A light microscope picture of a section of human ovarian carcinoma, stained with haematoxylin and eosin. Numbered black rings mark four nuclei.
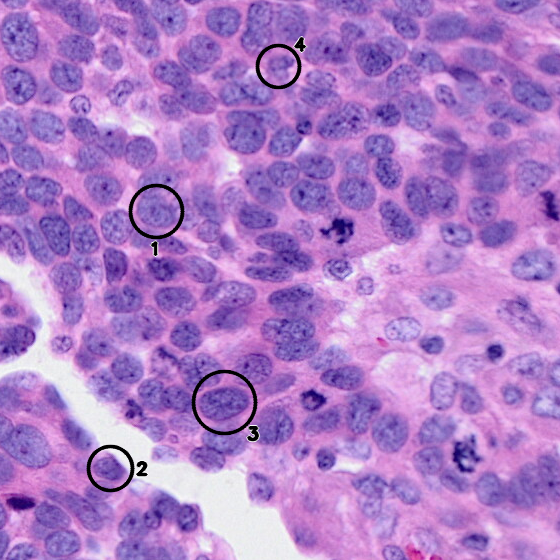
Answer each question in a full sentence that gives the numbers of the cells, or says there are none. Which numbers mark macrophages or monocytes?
In contrast to the remaining marked cells, cell 4 is a macrophage or monocyte.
